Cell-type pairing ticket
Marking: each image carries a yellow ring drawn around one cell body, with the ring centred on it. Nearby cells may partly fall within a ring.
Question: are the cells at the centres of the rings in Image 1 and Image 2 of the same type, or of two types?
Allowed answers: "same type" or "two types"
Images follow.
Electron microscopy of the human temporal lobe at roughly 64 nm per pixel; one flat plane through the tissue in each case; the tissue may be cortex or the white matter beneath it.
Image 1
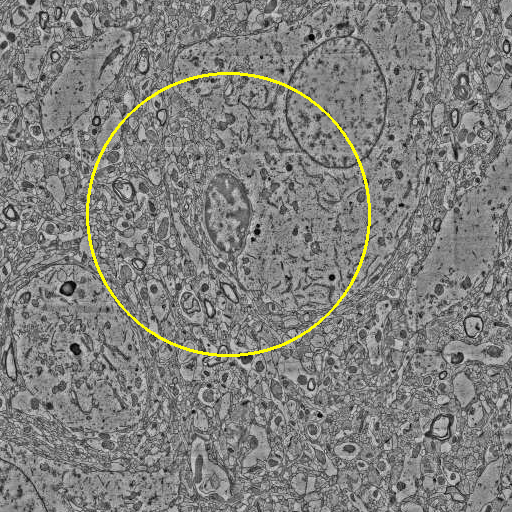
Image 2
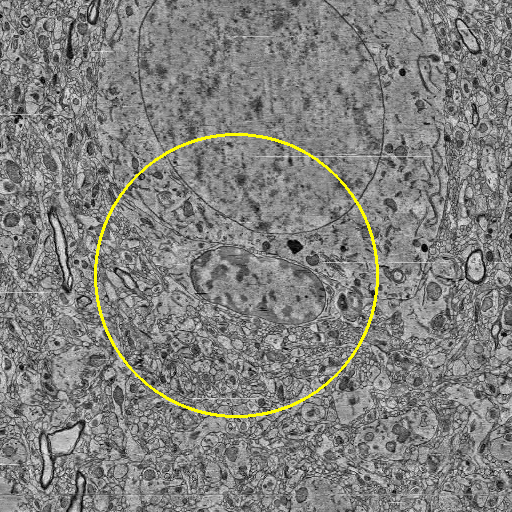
two types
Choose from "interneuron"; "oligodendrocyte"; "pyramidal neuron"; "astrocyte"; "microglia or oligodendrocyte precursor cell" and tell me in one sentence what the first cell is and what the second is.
What the first ring is centred on is an oligodendrocyte; what the second ring is centred on is a microglial cell or oligodendrocyte precursor cell.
